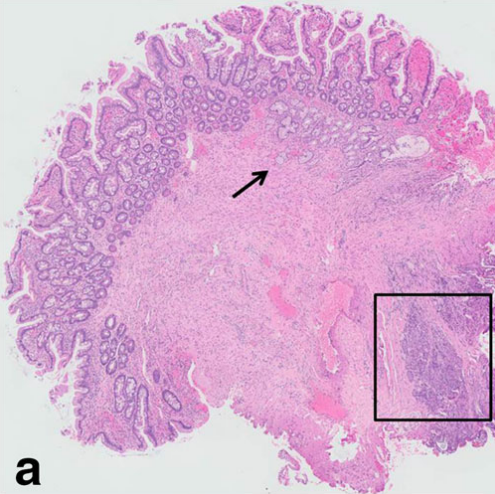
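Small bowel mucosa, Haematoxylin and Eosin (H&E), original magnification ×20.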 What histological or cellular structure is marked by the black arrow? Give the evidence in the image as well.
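Brunner’s glands. The arrow points to a cluster of pale glandular lobules lying just beneath the crypts of the mucosa. The surface shows finger-like villi and crypts of intestinal mucosa.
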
